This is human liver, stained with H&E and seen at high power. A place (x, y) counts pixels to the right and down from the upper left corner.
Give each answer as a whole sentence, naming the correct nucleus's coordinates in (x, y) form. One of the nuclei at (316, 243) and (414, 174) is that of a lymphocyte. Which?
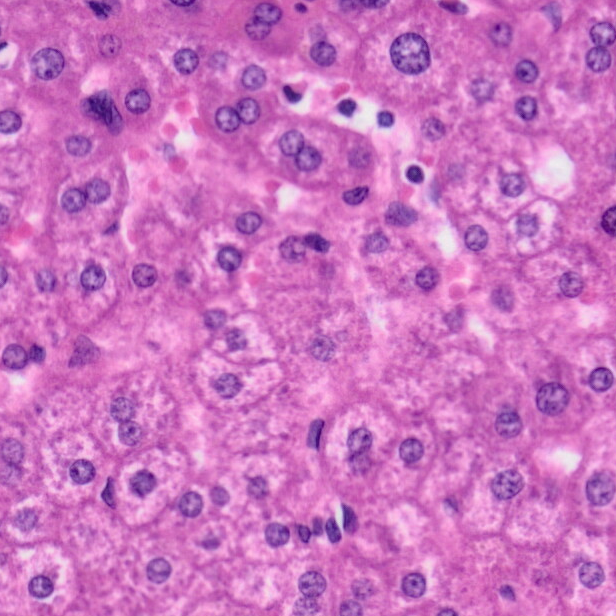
That would be the nucleus at (414, 174); it belongs to a lymphocyte.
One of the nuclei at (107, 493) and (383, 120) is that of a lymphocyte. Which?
The nucleus of a lymphocyte is the one found at (383, 120), not the other.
